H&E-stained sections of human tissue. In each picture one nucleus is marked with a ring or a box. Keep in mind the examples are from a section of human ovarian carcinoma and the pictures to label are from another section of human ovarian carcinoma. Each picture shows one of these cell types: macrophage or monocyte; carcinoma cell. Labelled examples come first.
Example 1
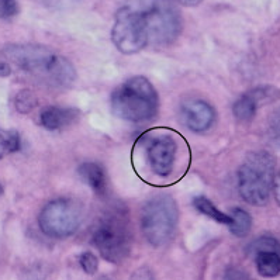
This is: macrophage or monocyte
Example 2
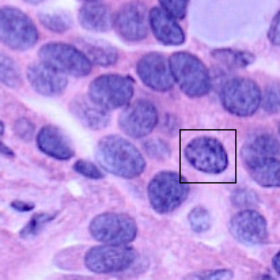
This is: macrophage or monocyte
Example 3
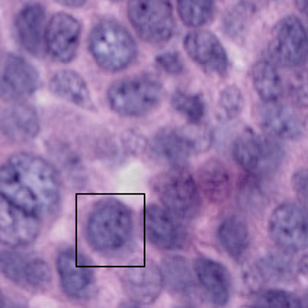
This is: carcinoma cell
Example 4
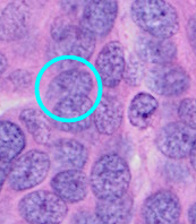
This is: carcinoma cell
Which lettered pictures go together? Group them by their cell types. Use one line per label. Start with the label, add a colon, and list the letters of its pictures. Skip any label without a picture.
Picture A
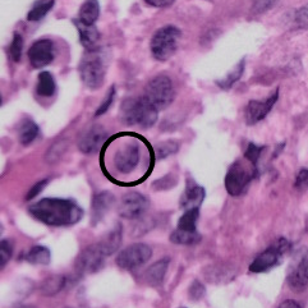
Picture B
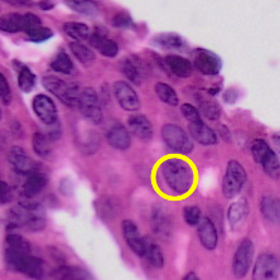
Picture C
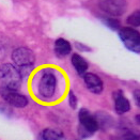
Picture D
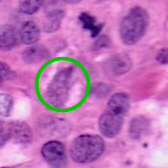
macrophage or monocyte: A, C
carcinoma cell: B, D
